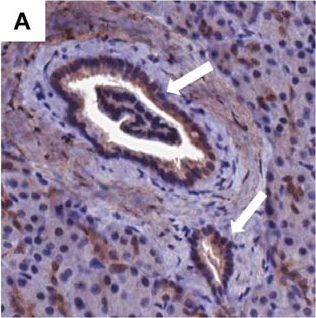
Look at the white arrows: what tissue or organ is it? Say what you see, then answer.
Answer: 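Normal ductal epithelium. The arrows point to a single layer of cuboidal to columnar cells lining an open lumen. The duct is surrounded by a collar of fibrous connective tissue. Around it lie sheets of acinar cells with pale granular cytoplasm.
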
